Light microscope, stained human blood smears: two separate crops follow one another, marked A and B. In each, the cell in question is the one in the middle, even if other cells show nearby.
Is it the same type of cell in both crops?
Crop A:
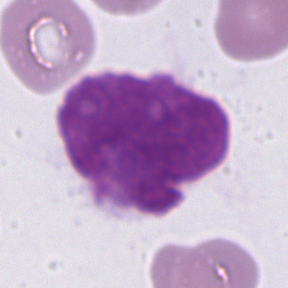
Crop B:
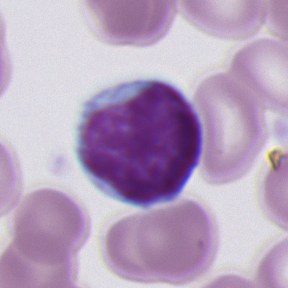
no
